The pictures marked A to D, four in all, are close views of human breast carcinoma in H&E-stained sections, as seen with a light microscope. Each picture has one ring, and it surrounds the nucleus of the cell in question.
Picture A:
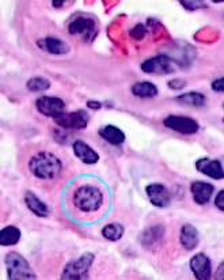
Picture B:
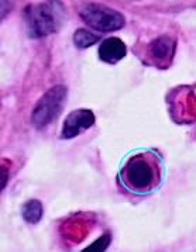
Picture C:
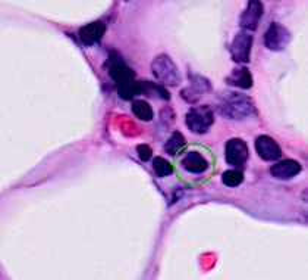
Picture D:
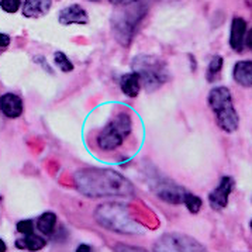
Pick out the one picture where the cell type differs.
C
